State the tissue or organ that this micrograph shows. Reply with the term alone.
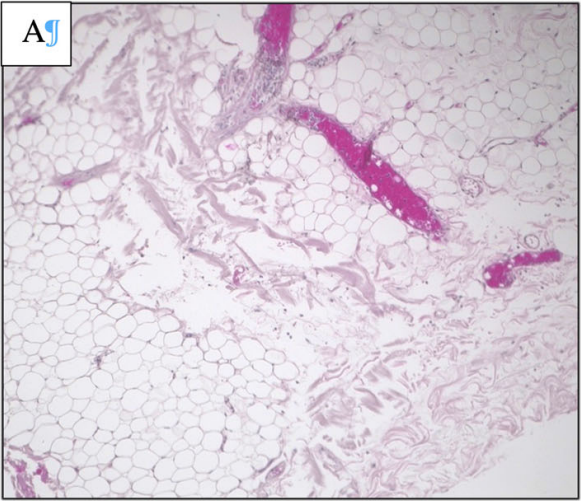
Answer: Fat.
